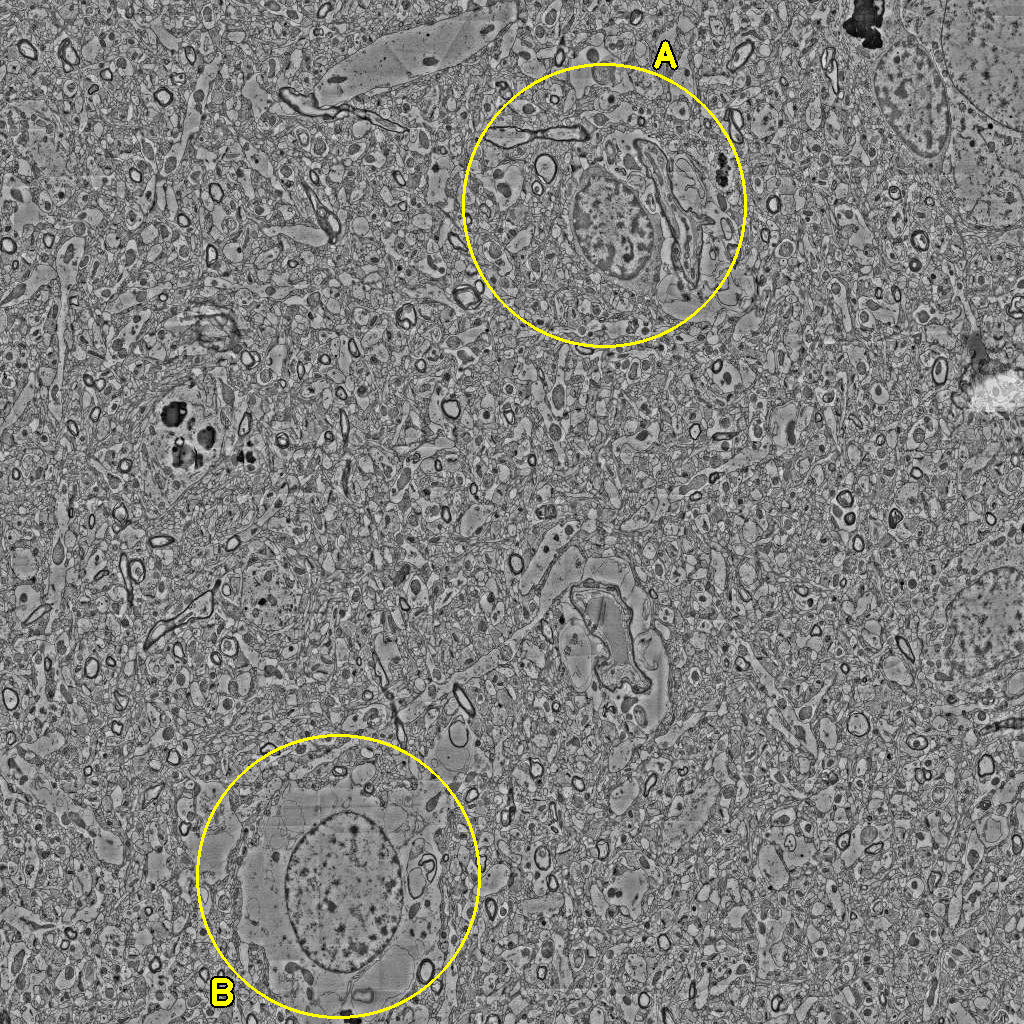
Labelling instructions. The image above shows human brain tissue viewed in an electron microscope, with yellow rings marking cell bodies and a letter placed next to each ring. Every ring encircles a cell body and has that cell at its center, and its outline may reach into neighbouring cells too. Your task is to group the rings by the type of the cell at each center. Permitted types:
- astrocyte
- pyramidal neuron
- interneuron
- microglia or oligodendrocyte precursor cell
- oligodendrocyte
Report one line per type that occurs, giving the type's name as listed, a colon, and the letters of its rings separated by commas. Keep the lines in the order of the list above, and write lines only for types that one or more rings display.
astrocyte: B
oligodendrocyte: A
